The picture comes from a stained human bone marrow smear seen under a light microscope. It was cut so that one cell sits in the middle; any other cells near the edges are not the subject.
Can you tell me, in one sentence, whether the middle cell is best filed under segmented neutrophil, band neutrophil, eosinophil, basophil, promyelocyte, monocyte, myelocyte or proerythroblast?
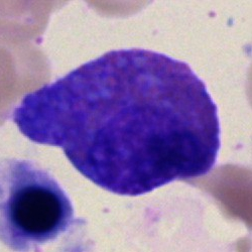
Classification of the middle cell gives an eosinophil.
